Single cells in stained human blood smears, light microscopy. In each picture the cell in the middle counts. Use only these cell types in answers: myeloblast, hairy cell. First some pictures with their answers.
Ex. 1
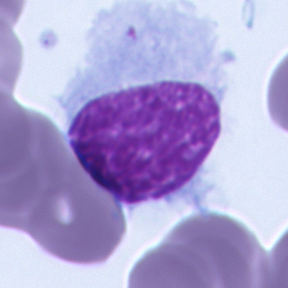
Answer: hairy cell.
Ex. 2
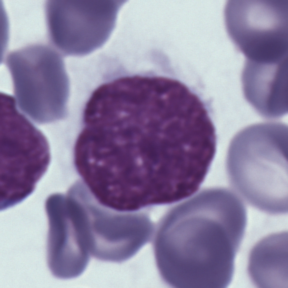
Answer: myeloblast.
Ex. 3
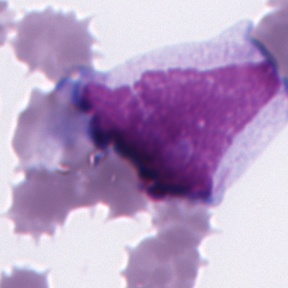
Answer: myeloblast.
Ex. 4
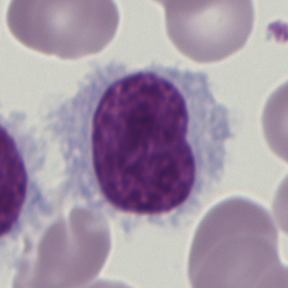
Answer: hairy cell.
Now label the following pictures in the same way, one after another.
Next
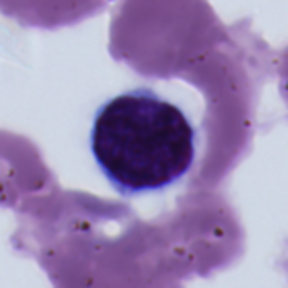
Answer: hairy cell.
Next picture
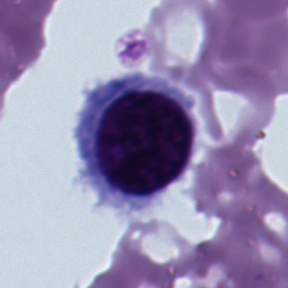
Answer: hairy cell.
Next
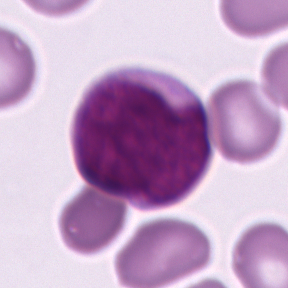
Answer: myeloblast.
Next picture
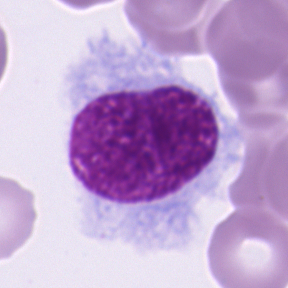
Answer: hairy cell.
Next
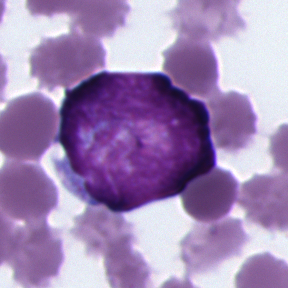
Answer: myeloblast.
